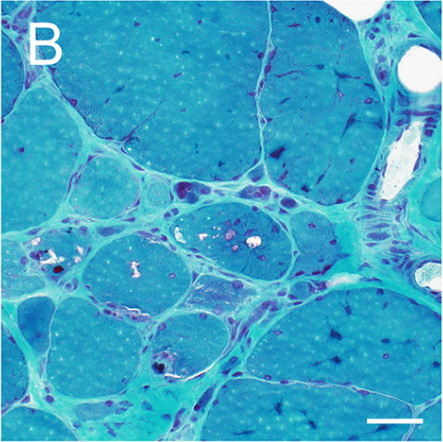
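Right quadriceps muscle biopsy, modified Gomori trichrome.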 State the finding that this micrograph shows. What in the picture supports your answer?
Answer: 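Several small fibers contain clear, empty-looking vacuoles.
Hence: rimmed vacuoles.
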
